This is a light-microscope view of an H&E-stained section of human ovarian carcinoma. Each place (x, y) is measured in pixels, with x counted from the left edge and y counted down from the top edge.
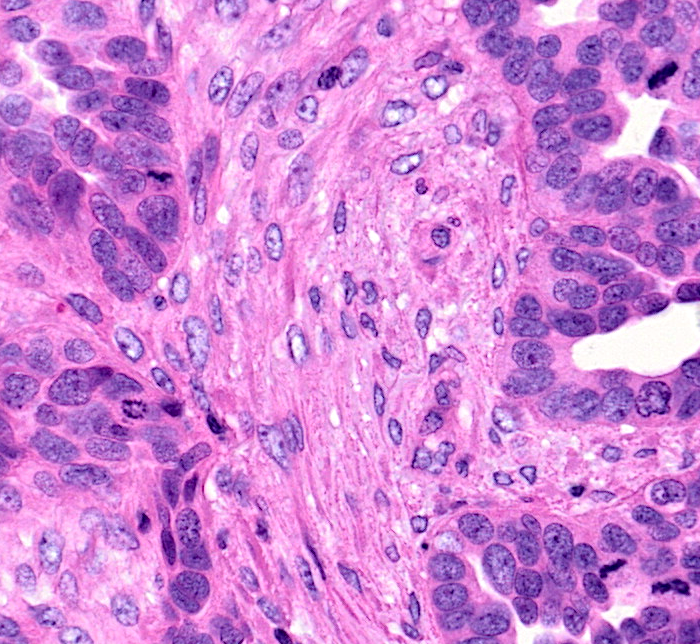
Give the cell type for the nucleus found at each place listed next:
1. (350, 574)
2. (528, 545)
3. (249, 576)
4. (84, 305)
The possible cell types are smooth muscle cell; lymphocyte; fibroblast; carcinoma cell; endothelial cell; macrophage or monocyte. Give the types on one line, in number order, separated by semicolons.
fibroblast; carcinoma cell; fibroblast; fibroblast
